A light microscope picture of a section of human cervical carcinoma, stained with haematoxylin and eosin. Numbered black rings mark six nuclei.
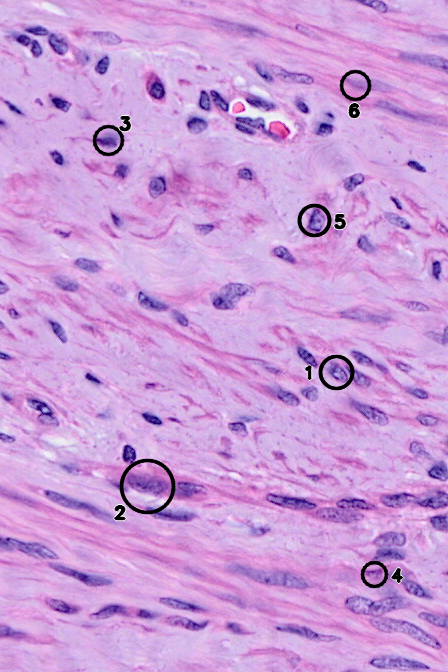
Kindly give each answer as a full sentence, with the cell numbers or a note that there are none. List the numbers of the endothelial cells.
Cell 2 alone, of all the numbered cells, is an endothelial cell.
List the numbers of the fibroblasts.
Cell 3 stands alone among the numbered cells as a fibroblast.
